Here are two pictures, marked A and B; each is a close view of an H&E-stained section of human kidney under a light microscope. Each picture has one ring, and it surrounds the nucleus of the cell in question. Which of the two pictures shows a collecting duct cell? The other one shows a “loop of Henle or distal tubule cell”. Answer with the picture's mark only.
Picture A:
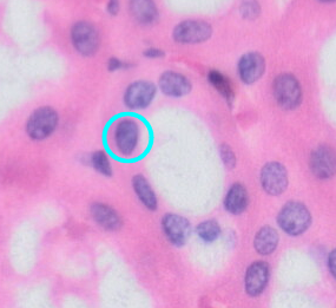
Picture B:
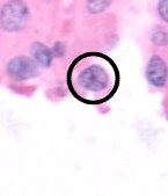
A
